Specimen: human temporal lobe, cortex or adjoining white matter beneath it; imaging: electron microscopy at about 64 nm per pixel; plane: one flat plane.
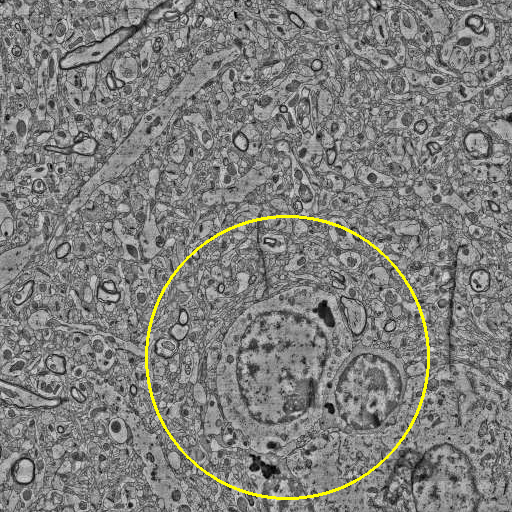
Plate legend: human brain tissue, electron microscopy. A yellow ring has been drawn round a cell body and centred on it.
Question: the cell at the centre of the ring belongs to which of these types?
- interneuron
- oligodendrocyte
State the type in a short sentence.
The cell in the middle of the ring is an interneuron.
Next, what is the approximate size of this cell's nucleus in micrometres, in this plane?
The nucleus measures about 7 by 6 micrometres in this plane.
